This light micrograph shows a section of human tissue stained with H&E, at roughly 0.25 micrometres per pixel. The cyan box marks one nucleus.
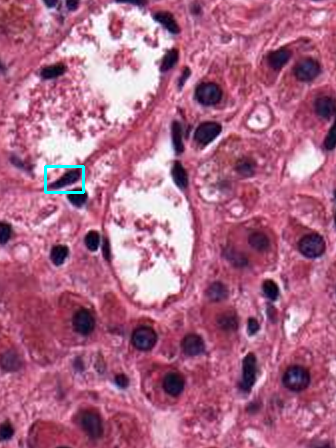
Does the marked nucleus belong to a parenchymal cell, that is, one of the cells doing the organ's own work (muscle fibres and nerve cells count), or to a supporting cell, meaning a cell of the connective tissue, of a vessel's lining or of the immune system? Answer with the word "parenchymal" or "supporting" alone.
supporting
